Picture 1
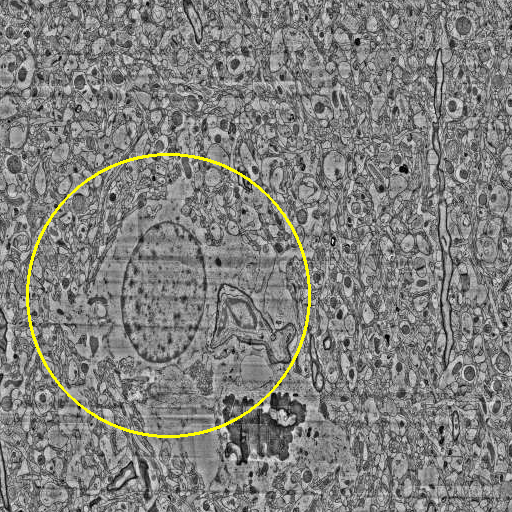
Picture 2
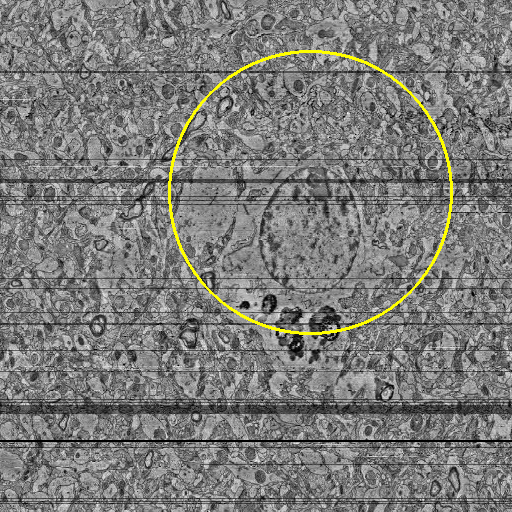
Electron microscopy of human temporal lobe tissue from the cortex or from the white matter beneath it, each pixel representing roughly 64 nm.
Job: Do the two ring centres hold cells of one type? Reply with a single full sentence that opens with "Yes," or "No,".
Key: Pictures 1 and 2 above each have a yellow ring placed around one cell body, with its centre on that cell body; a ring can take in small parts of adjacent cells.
Yes, the cells at the two ring centres are of one single type.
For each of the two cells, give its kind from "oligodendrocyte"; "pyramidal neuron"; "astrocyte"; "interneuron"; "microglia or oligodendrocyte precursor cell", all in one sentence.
Both pictures show an astrocyte at the centre of the ring.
